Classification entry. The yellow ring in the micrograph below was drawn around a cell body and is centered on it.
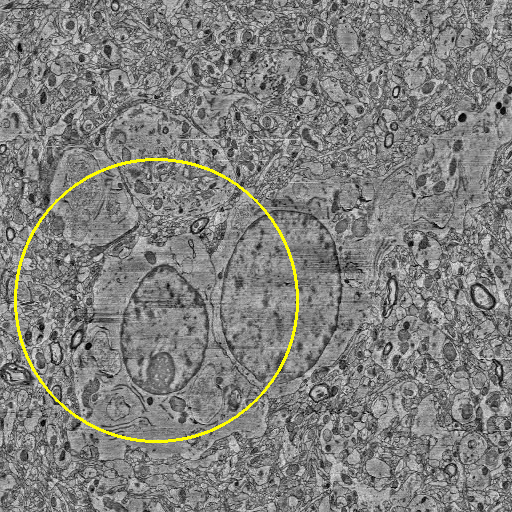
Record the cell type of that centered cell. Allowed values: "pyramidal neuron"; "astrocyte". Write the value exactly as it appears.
astrocyte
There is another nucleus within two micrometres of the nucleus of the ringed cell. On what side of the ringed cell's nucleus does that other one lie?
The other nucleus sits to the right of it.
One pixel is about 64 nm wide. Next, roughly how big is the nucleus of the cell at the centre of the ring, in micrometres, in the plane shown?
Roughly 8 micrometres long and 6 micrometres wide; in this plane the nucleus is clearly longer than it is wide.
